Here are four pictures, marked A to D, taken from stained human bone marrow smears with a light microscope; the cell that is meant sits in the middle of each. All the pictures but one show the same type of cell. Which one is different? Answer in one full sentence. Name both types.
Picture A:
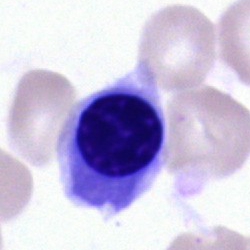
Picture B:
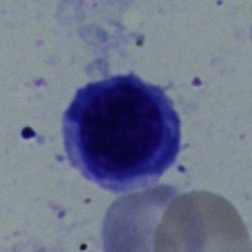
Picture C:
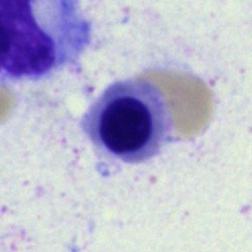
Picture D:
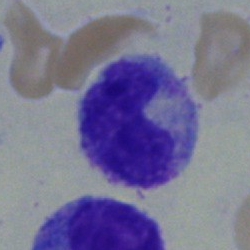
Picture D is the odd one out: it shows a metamyelocyte, while the others show erythroblasts.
